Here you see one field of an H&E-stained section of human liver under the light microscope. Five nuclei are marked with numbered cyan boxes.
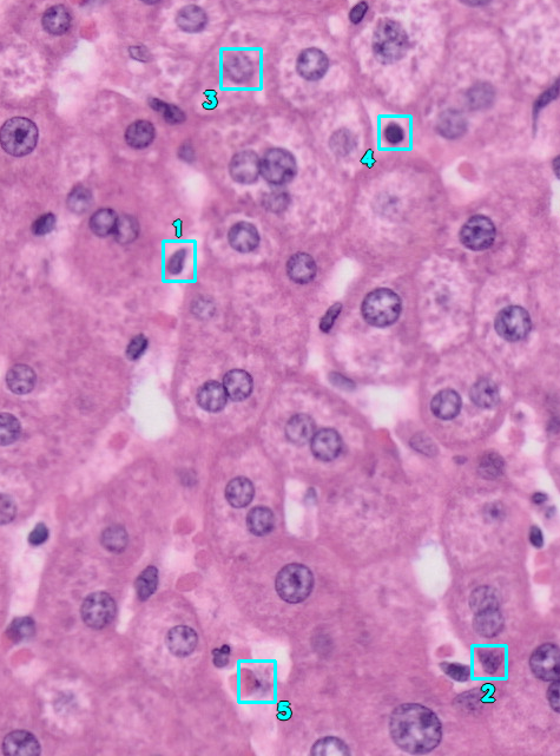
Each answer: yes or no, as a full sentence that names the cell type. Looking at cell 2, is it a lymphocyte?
No. Cell number 2 is a fibroblast or stellate cell, not a lymphocyte.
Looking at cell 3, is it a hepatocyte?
Yes, and to answer plainly, cell 3 is a hepatocyte.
